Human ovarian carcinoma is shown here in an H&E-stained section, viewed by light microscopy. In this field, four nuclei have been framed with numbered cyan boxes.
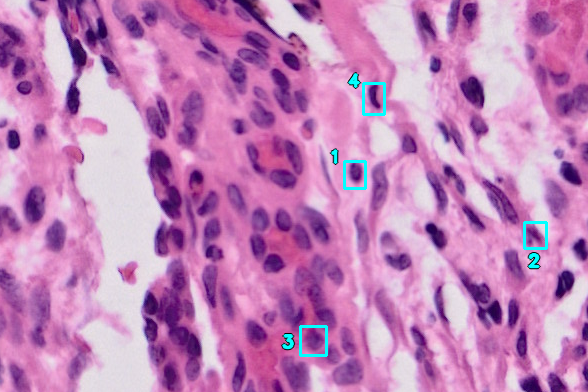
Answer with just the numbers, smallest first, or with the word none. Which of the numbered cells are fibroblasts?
1, 2, 4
